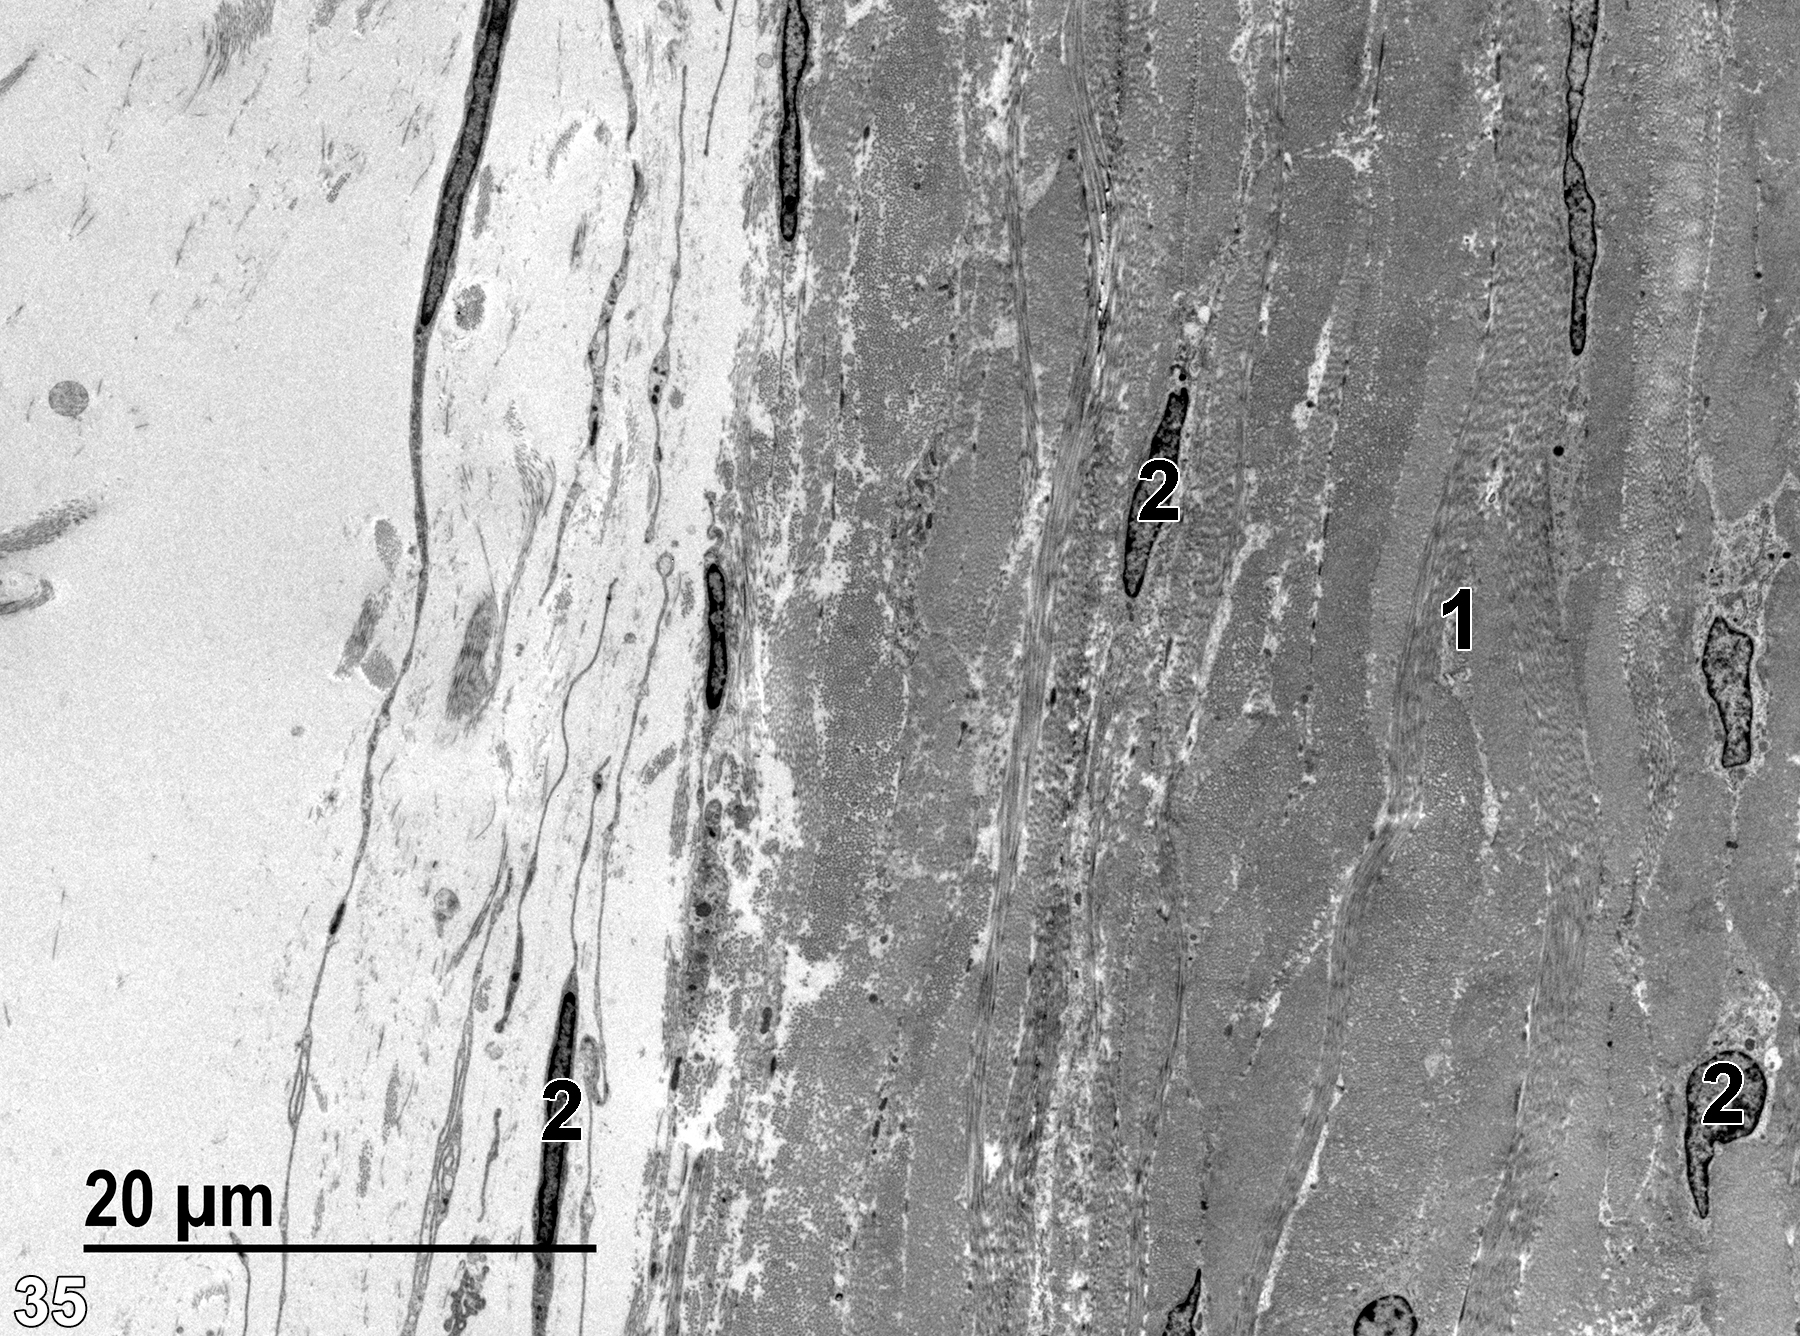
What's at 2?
The number 2 marks the fibroblasts.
